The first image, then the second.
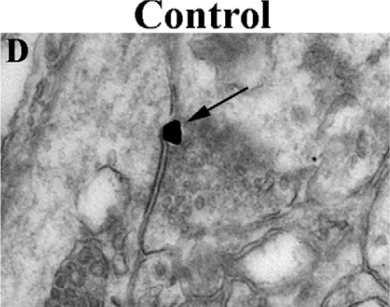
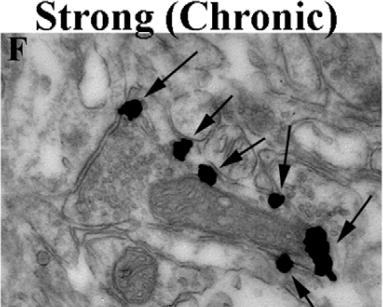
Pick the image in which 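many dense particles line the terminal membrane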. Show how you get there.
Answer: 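The second image. Second image: six arrows point to dense black particles along one terminal. First image: a single arrow points to one dense black particle on the terminal.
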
